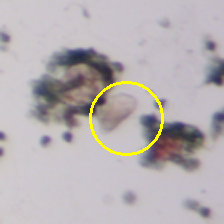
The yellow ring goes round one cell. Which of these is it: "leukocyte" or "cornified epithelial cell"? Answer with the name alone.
cornified epithelial cell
